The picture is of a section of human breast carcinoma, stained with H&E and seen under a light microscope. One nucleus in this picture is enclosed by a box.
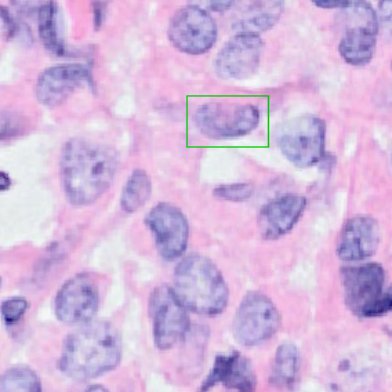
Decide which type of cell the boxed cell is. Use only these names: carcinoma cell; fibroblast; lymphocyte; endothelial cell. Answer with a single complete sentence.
Just put down that the boxed cell is a carcinoma cell.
